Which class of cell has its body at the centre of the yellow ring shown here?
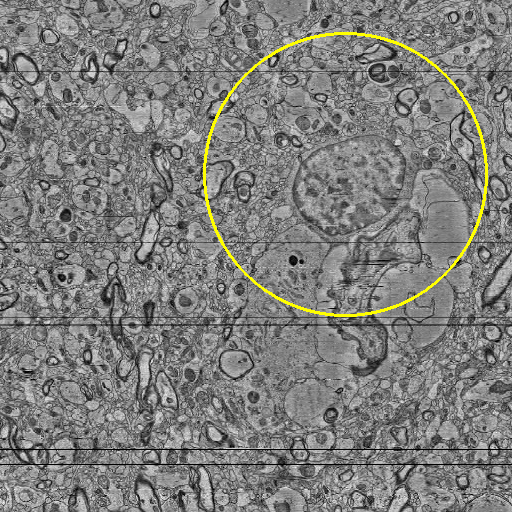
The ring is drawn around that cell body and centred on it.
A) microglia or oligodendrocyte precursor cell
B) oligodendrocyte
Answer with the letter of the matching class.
B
